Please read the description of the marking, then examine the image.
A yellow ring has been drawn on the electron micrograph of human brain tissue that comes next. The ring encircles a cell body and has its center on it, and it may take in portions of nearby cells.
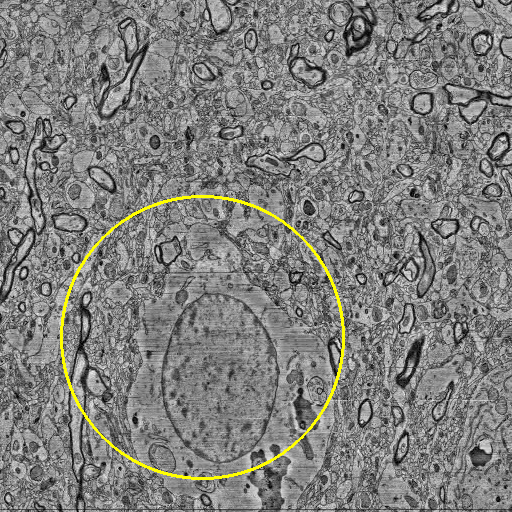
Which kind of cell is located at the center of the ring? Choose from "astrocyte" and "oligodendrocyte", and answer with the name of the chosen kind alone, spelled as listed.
astrocyte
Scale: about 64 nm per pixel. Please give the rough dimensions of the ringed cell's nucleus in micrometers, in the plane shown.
In this plane, roughly 11 by 8 micrometres.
